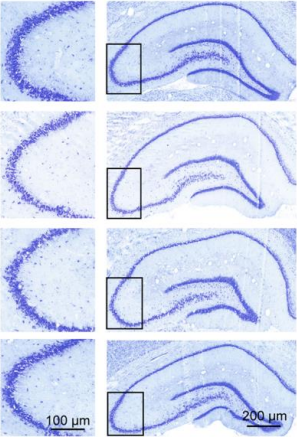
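The stain colours cell bodies blue-violet against a pale background, so the principal cell layers stand out as dense dark bands. In the low-magnification views, a long curved band of pyramidal cells arcs through the section, and the granule cell layer of the dentate gyrus forms a separate C-shaped band within that arc. Scattered stained cells lie in the lighter tissue on either side of the band.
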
